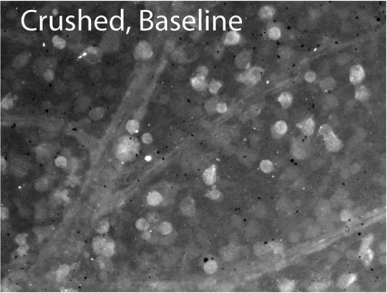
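Retinal ganglion cells in a flat-mounted retina appear as rounded bright cell bodies, more widely spaced than in a dense normal layer. Many somata are only dimly labelled against a grey background, with a smaller number brightly labelled. Straight, faintly bright bands crossing the field in several directions resemble bundles of nerve fibres. Small dark and bright specks are scattered across the background.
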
